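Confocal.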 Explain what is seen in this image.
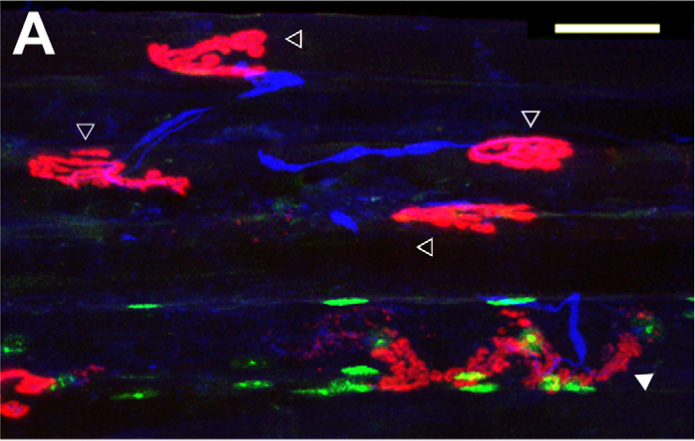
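This is a whole mount of skeletal muscle fibres running horizontally, with several neuromuscular junctions. In the upper fibres, compact red branched plaques with a pretzel-like shape sit on the fibre surface. Thin blue nerve branches run across the field to reach them. The lower fibre band contains elongated green nuclei aligned along the fibre axis. In that band, the red structure is not compact. It is broken into many small, scattered red fragments spread over a wide, irregular area. Green nuclei lie among these fragments, and a blue nerve branch runs into this region.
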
